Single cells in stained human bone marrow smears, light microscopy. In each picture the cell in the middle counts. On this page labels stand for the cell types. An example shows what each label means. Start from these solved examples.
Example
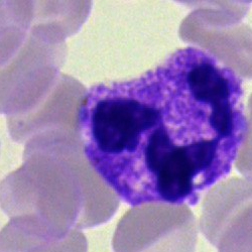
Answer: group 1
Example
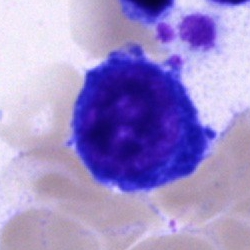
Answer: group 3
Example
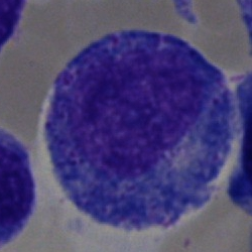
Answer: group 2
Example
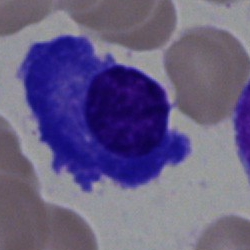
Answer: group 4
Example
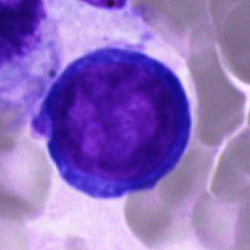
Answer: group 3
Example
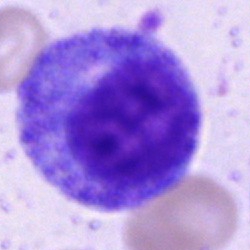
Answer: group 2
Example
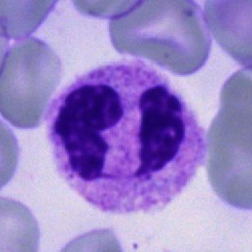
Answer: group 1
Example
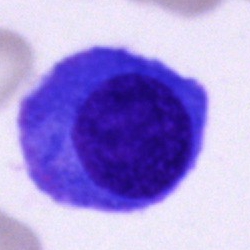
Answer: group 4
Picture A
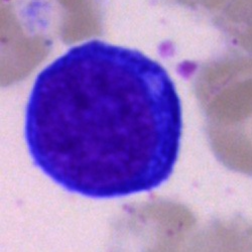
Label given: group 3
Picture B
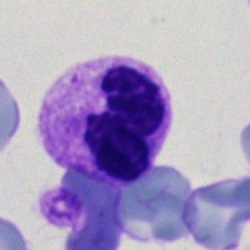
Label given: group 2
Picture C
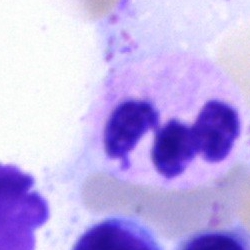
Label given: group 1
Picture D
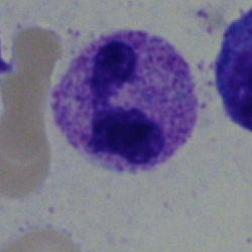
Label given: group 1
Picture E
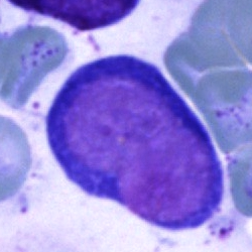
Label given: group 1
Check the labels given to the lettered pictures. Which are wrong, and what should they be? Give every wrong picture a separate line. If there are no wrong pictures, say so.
B: group 1, not group 2
E: group 3, not group 1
